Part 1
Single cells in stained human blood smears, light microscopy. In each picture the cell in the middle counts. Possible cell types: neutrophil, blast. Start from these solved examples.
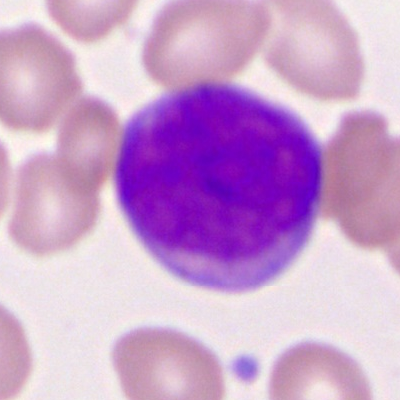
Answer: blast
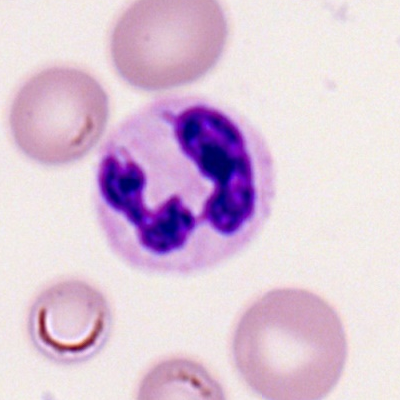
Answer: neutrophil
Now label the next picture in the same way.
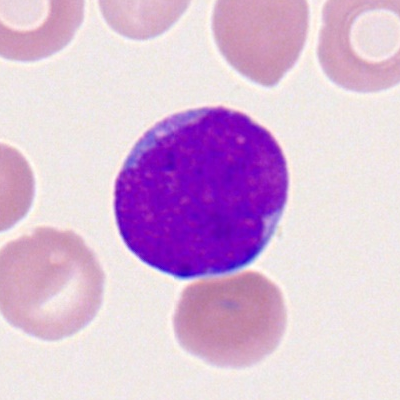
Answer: blast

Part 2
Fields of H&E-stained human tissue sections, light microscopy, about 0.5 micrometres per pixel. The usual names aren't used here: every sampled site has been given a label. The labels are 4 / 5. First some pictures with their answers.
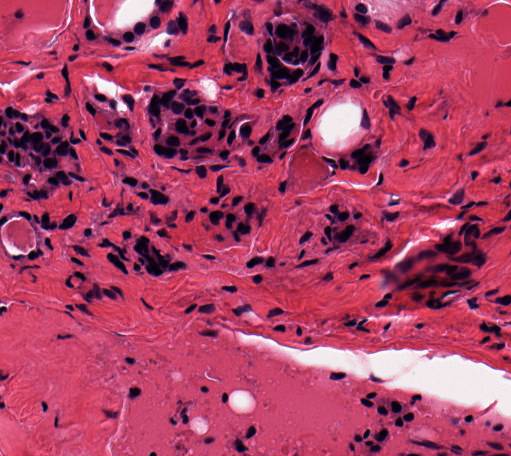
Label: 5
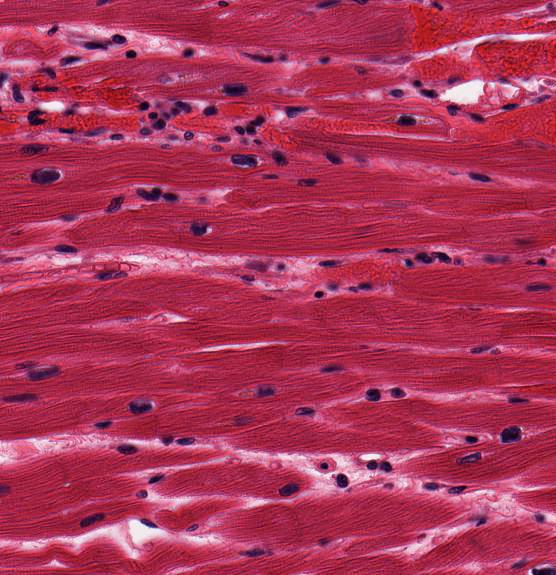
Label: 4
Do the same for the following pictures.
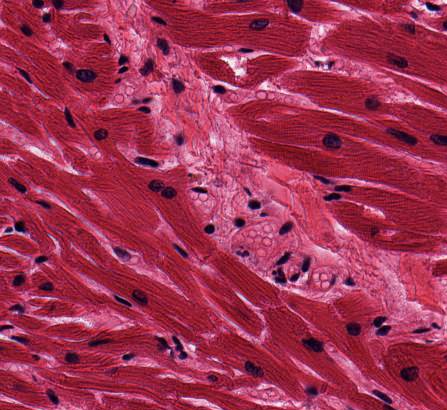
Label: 4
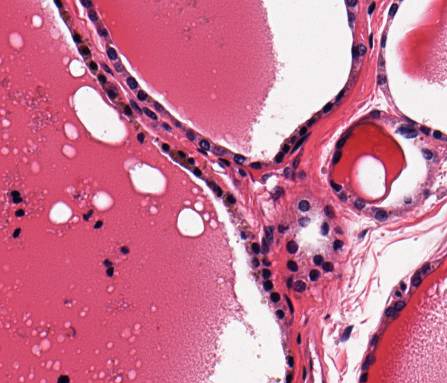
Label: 5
